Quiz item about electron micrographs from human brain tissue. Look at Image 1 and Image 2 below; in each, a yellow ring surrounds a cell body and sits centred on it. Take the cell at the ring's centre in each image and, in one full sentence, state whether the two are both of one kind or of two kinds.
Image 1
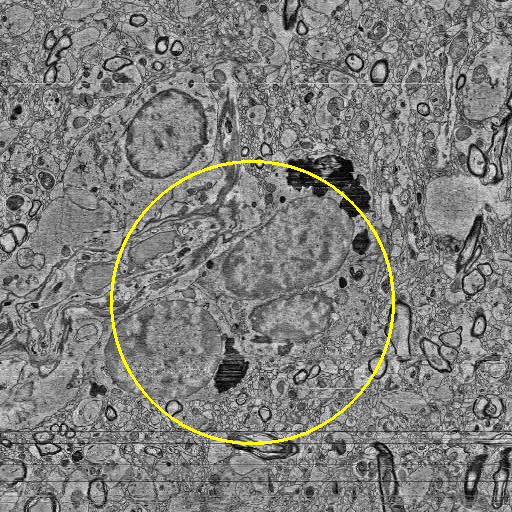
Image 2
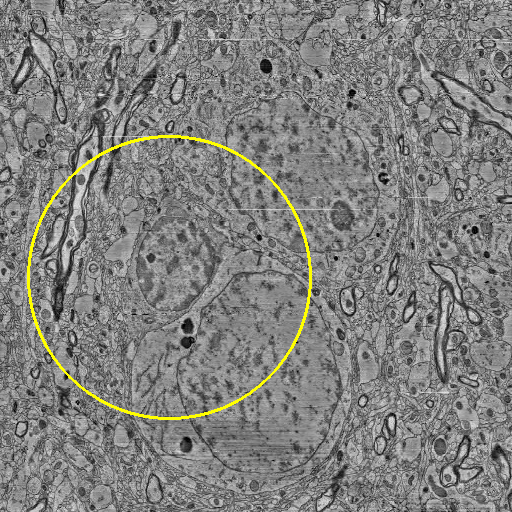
In Image 1 and Image 2, the cells at the ring centres are both of one kind.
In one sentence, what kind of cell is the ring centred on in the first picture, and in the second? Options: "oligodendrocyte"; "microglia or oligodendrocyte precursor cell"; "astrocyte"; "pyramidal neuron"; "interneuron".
Each of the two cells is an oligodendrocyte.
